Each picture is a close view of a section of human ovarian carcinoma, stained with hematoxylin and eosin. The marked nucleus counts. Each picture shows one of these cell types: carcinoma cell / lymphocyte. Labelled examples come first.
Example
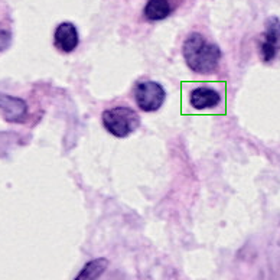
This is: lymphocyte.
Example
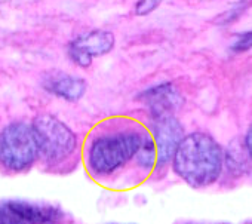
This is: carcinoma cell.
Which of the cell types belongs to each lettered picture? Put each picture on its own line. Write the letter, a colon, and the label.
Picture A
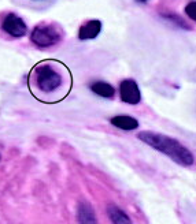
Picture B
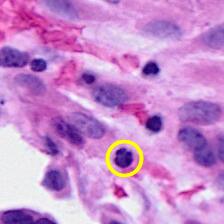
A: lymphocyte.
B: lymphocyte.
